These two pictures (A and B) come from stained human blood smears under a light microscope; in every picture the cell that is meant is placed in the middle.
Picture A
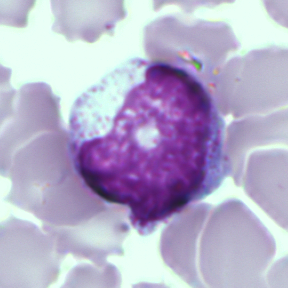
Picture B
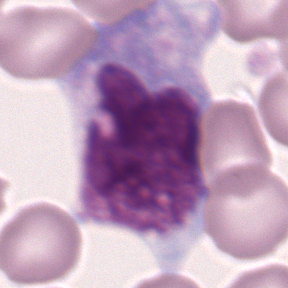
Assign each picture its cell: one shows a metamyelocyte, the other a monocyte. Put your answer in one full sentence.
Picture A is of a metamyelocyte, and picture B is of a monocyte.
